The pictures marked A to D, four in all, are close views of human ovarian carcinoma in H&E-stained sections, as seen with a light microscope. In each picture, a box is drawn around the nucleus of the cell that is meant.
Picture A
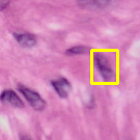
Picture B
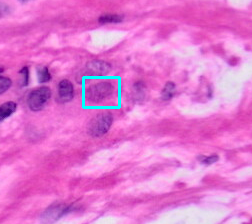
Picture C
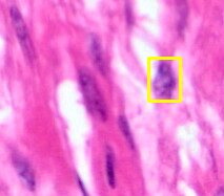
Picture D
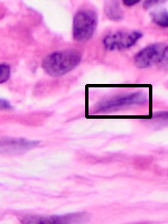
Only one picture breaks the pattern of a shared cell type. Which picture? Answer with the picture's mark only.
B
